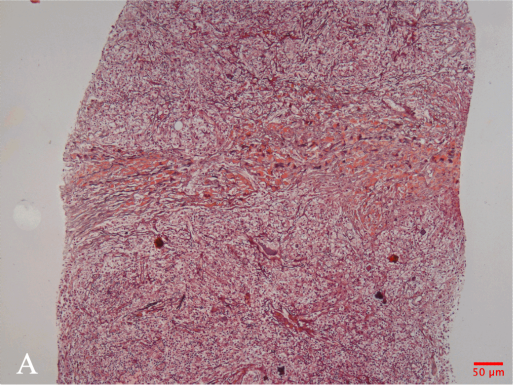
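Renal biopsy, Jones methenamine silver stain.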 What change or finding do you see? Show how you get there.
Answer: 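Storiform pattern of interstitial fibrosis. Spindle-shaped fibres and cells run in swirling, interlacing bundles across the core. Few intact tubules are left between the fibrous strands.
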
